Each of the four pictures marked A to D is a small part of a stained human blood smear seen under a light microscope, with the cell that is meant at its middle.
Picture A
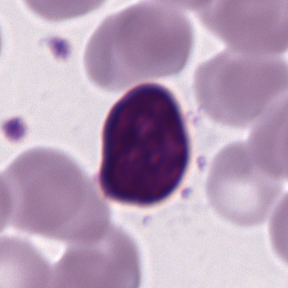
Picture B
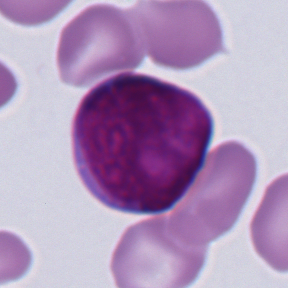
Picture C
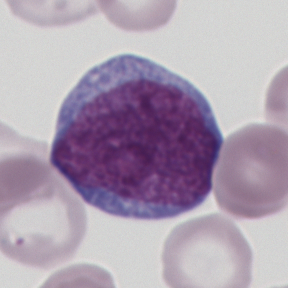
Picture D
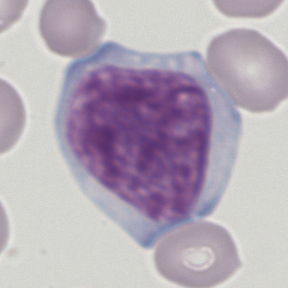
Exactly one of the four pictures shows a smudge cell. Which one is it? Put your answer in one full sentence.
Picture A is the one that shows the smudge cell.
